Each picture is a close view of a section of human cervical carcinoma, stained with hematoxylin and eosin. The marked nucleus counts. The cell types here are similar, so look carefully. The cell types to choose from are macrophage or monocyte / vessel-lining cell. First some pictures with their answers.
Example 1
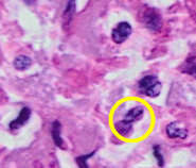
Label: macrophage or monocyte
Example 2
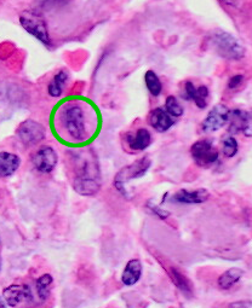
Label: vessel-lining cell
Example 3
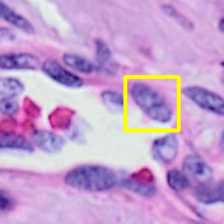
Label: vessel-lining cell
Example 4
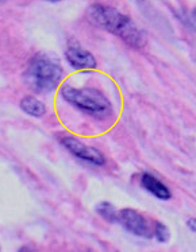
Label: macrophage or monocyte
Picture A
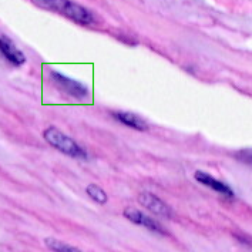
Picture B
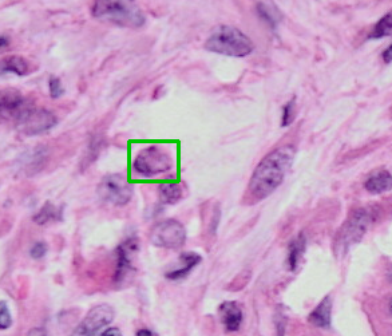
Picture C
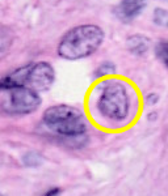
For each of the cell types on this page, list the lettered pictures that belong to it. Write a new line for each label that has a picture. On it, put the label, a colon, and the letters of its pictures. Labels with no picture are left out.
macrophage or monocyte: B
vessel-lining cell: A, C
